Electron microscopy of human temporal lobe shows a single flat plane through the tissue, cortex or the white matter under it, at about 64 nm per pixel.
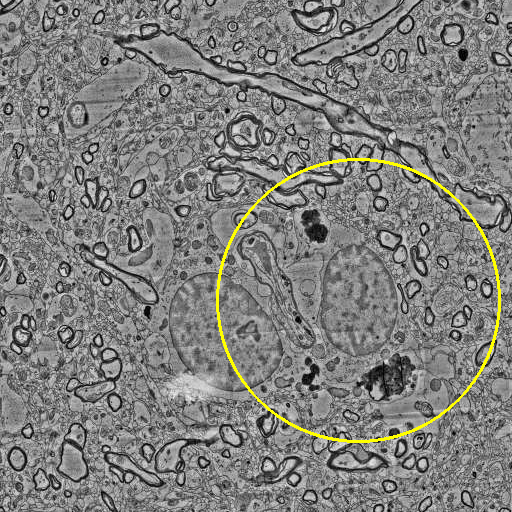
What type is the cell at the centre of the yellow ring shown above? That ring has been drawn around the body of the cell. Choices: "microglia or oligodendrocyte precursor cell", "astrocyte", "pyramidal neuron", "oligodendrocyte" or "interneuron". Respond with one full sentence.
My answer is that an oligodendrocyte lies at the centre of the yellow ring above.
